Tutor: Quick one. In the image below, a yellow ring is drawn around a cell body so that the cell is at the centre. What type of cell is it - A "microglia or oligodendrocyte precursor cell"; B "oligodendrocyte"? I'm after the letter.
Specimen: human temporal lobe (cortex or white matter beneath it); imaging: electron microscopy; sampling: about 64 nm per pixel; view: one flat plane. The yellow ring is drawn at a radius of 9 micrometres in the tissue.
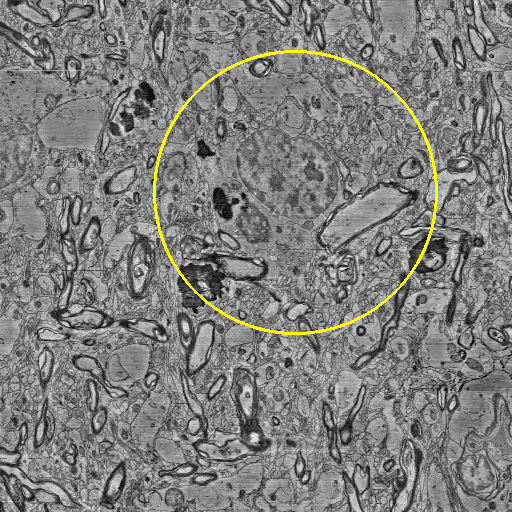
B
